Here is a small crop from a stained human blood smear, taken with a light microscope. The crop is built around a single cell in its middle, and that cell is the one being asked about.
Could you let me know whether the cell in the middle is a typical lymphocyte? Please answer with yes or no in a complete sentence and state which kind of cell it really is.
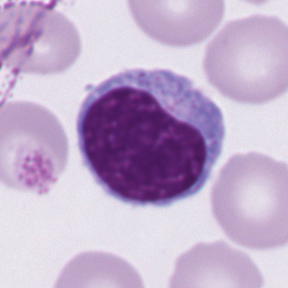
Yes, that is a typical lymphocyte in the middle of the crop.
